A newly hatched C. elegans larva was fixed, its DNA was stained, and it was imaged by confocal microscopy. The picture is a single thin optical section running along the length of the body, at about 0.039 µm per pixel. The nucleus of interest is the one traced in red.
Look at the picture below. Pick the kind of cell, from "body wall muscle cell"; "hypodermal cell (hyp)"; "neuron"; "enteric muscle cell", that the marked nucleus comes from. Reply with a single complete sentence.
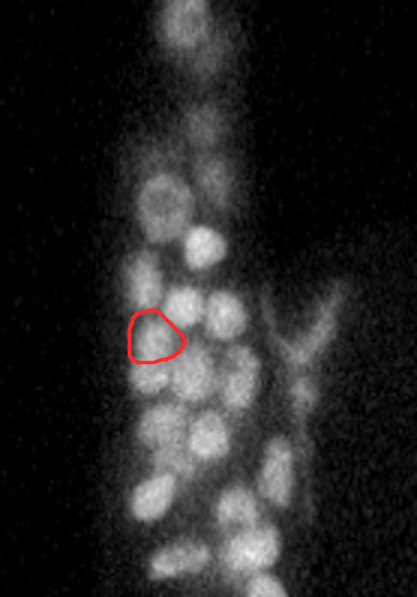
The marked nucleus is that of a neuron.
